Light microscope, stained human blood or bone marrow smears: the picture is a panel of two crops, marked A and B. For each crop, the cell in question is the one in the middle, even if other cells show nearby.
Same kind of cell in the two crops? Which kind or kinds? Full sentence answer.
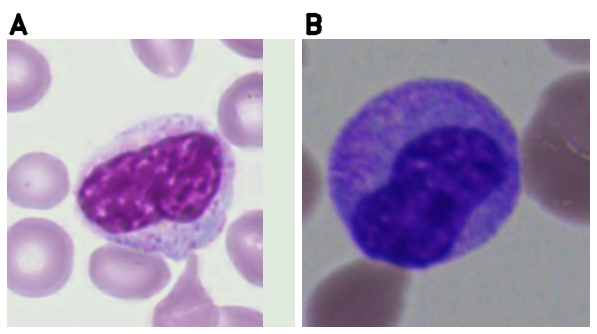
Yes, both crops show metamyelocytes, the one and the other.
